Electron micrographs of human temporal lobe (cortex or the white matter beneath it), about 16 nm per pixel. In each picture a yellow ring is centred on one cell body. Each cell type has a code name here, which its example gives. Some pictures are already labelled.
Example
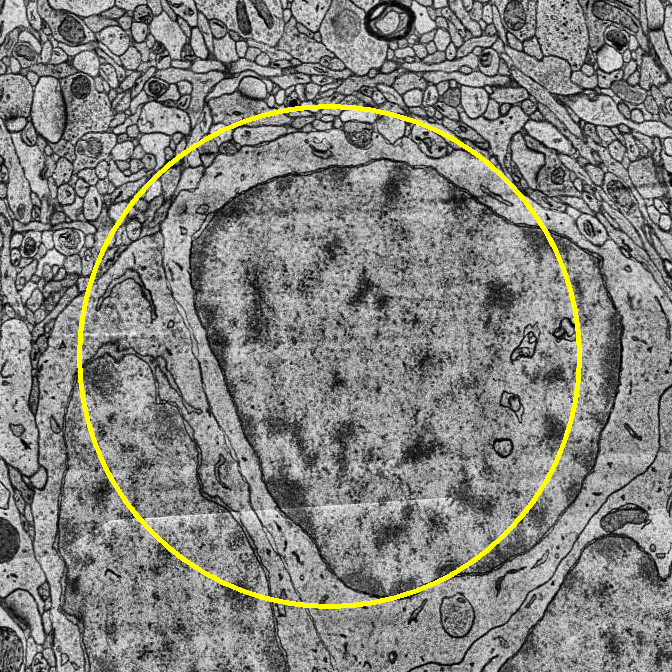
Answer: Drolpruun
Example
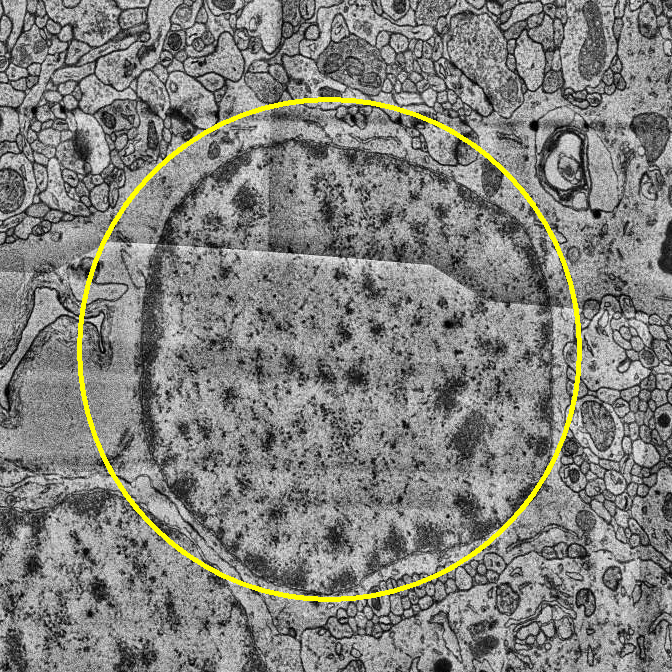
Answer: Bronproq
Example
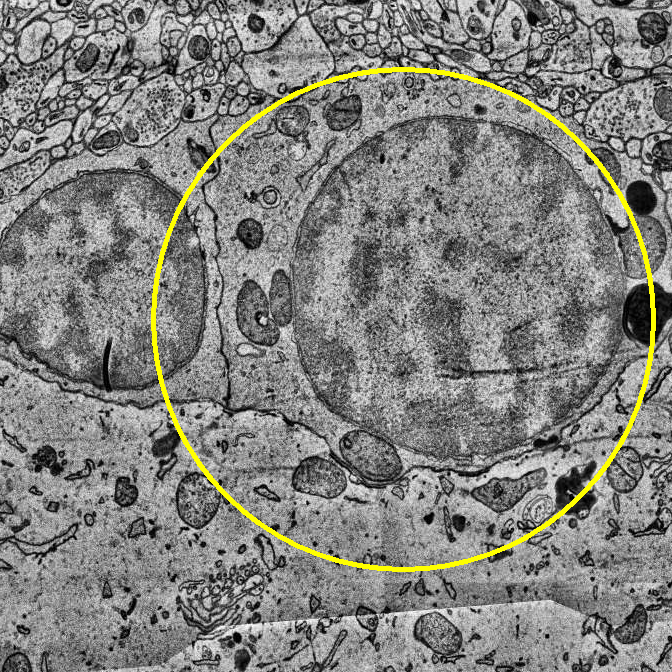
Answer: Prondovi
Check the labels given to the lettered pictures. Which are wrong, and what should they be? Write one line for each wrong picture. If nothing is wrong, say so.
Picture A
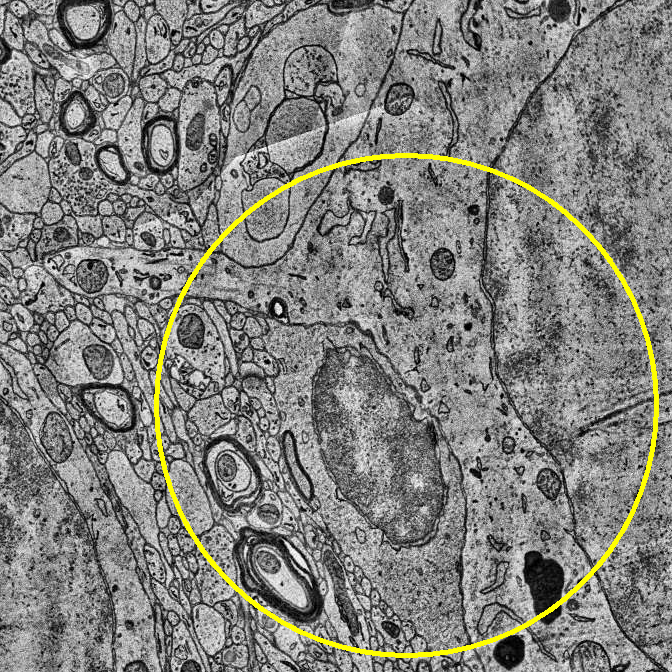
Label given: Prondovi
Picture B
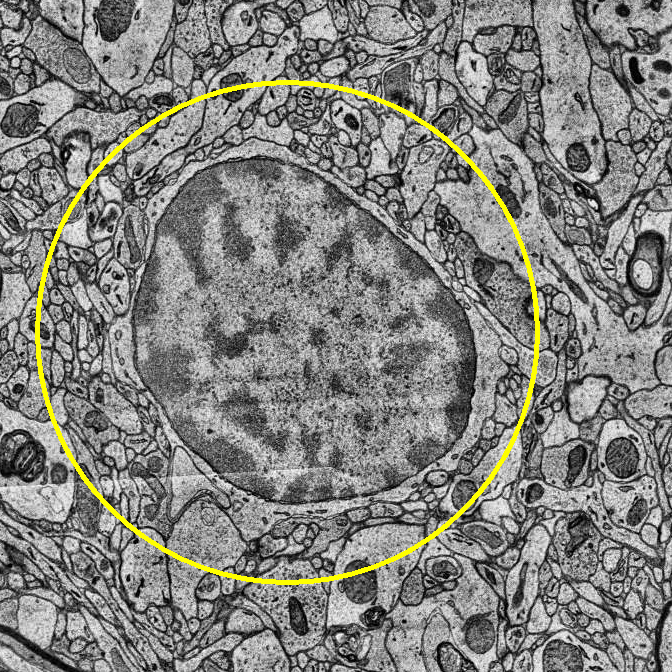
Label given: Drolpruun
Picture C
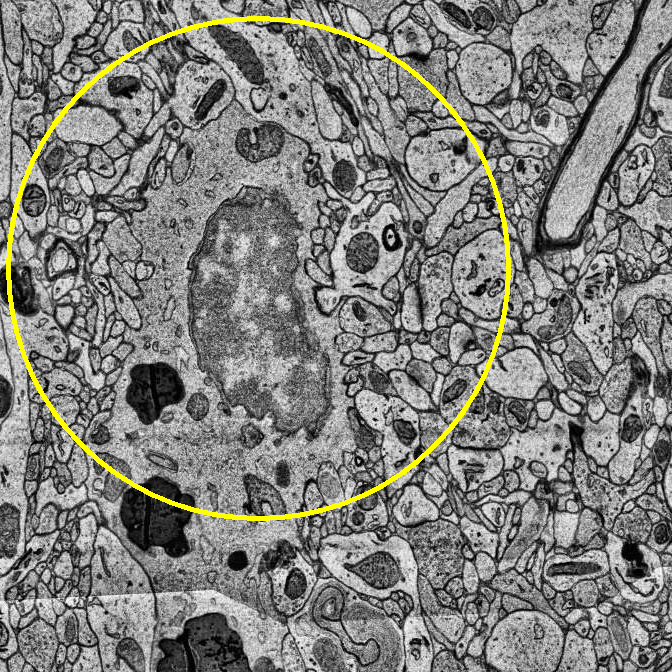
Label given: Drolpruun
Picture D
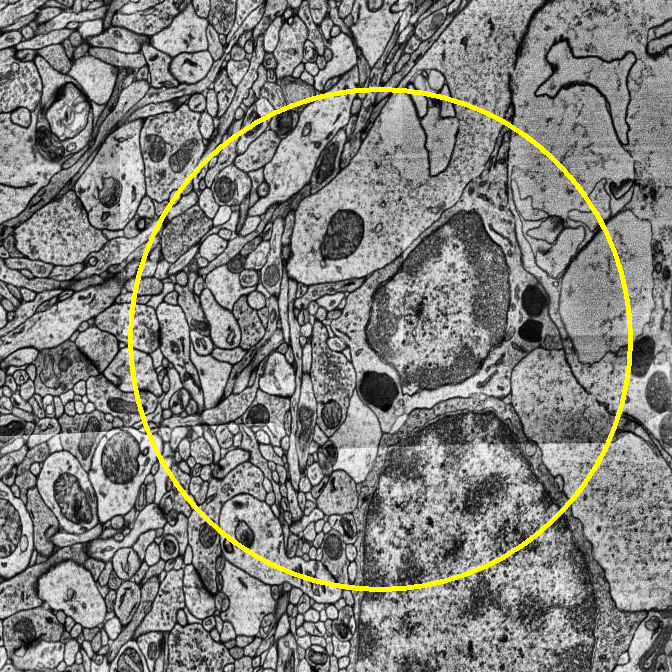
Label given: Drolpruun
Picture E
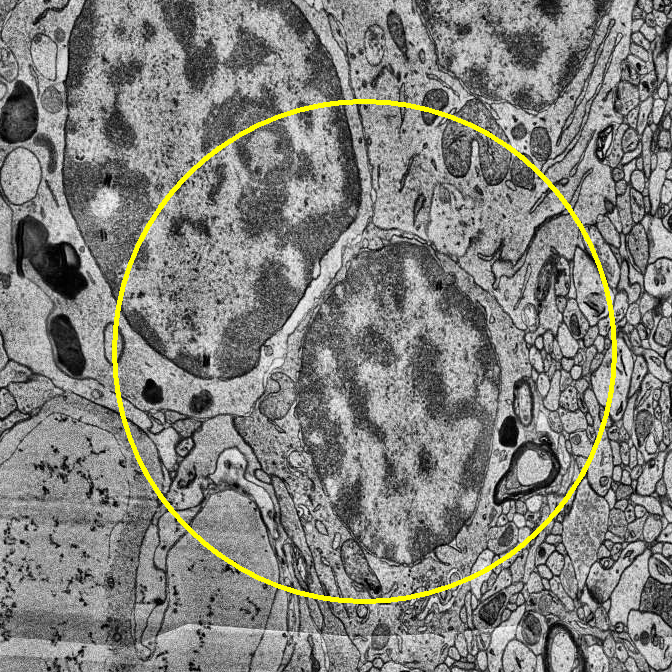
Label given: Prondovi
C: change Drolpruun to Prondovi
